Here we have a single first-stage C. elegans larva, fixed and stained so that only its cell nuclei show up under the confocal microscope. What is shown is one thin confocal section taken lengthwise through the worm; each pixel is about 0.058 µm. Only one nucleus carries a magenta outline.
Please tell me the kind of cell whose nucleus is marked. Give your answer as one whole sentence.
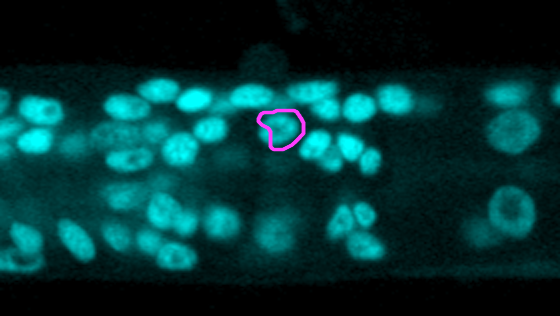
This nucleus is from a pharyngeal marginal cell.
